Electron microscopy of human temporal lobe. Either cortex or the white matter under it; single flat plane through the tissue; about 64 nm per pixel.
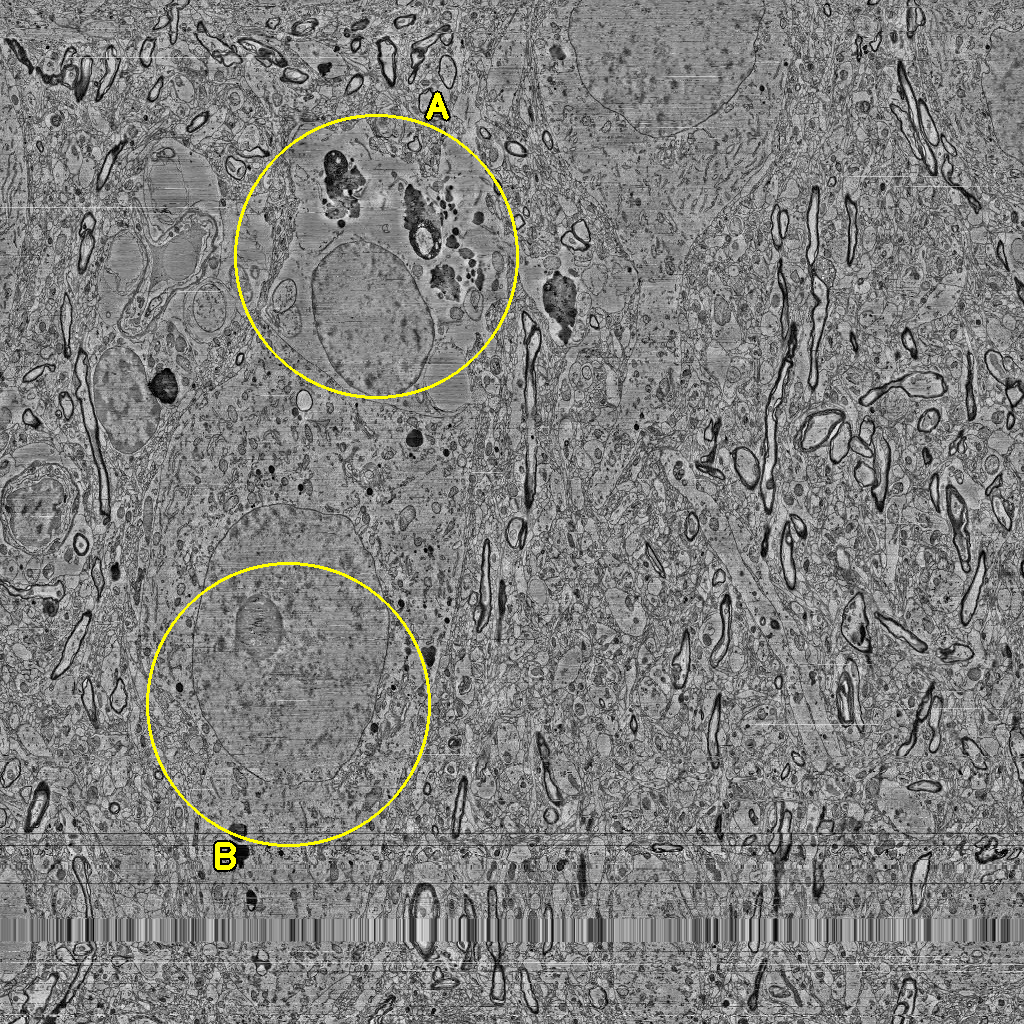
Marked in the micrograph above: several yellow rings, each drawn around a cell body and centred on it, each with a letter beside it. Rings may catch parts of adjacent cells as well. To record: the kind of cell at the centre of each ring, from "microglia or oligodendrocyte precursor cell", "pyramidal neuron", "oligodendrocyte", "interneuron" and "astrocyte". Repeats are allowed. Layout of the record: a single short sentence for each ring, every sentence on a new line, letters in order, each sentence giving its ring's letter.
At the centre of ring A lies an astrocyte.
At the centre of ring B lies a pyramidal neuron.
